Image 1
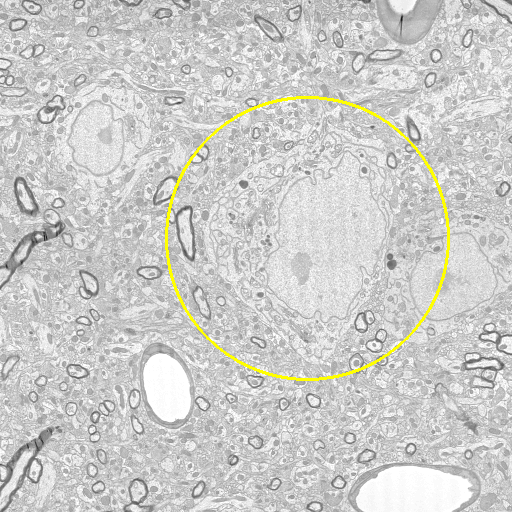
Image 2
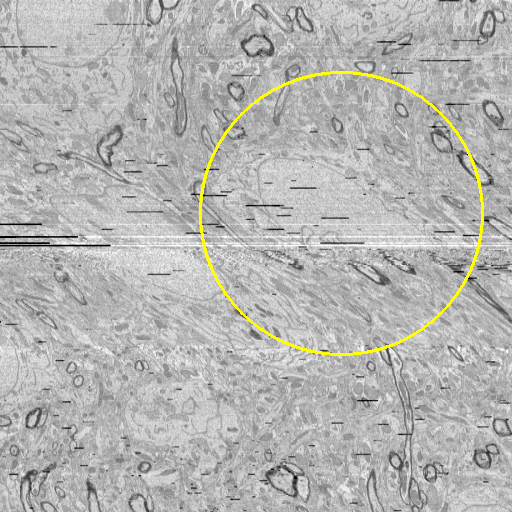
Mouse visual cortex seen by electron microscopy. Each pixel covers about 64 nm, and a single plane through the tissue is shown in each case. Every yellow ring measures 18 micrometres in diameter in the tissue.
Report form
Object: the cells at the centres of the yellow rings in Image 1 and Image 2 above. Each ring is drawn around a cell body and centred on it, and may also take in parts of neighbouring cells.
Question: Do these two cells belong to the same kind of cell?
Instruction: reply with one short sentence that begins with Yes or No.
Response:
Yes, both belong to the same kind of cell.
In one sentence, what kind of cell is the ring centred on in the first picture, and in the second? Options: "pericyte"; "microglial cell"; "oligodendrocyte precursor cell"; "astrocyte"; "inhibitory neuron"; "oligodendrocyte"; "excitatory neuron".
Each of the two rings surrounds an inhibitory neuron.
